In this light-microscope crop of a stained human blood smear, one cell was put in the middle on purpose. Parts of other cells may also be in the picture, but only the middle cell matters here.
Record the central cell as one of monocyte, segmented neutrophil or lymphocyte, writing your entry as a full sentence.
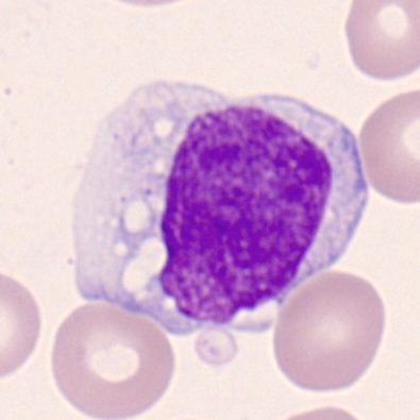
What the crop centres on is a monocyte.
